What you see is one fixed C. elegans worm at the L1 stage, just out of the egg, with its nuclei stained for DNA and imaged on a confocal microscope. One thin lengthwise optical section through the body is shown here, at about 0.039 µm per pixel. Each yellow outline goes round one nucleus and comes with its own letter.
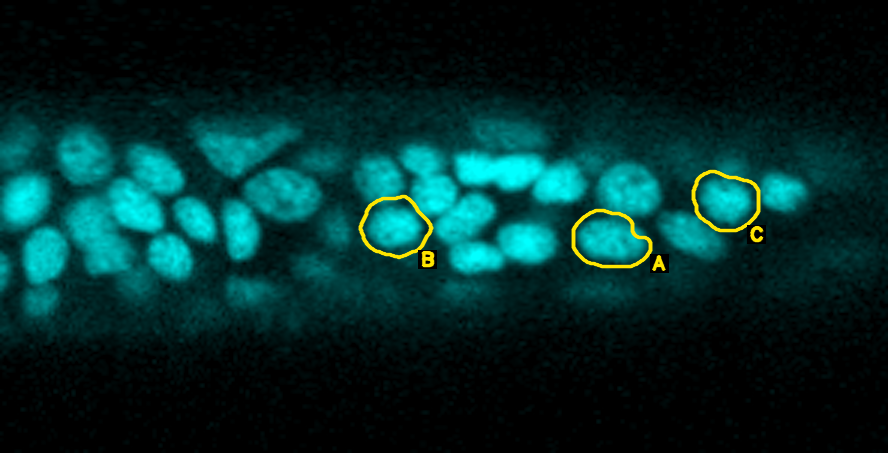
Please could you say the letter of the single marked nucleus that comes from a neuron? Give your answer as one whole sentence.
The nucleus of a neuron is B.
